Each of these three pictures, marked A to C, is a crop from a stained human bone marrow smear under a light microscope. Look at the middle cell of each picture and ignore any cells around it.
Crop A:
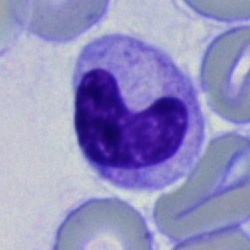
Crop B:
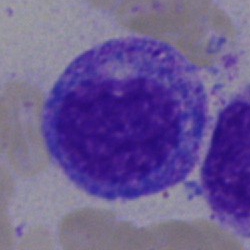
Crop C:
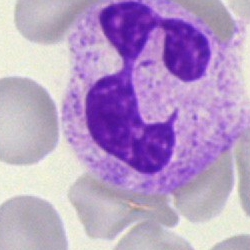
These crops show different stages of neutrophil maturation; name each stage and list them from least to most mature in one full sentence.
The series, from least to most mature, is crop B (a promyelocyte), crop A (a band neutrophil) and crop C (a segmented neutrophil).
